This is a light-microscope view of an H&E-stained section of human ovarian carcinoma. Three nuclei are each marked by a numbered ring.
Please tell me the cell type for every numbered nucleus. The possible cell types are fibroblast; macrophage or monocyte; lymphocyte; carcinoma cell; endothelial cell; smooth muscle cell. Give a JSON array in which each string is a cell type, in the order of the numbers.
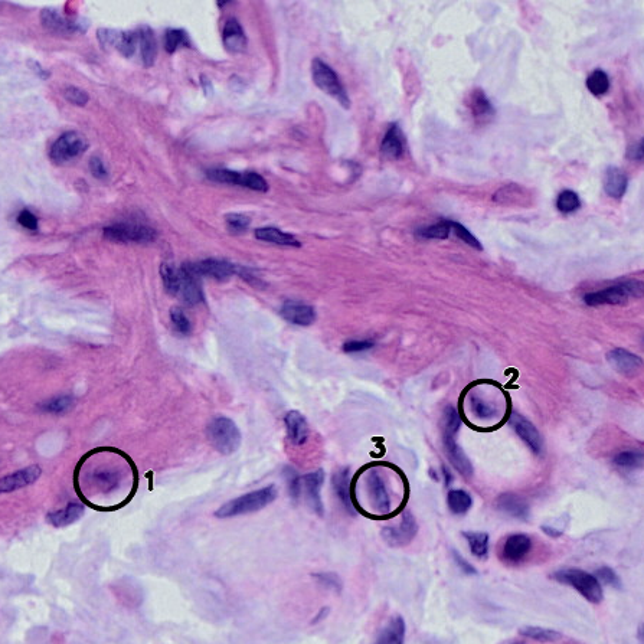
["smooth muscle cell", "endothelial cell", "endothelial cell"]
